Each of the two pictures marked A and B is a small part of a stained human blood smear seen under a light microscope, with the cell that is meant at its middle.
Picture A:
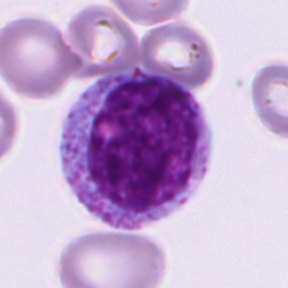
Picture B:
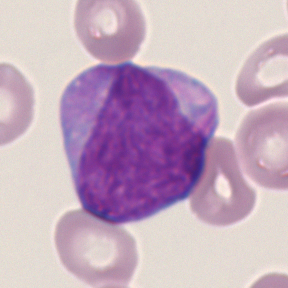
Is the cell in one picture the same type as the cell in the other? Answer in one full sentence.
No, picture A shows a myelocyte and picture B shows an atypical promyelocyte.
